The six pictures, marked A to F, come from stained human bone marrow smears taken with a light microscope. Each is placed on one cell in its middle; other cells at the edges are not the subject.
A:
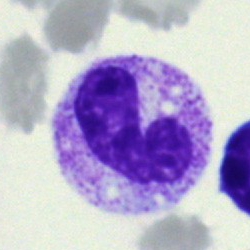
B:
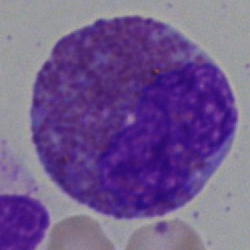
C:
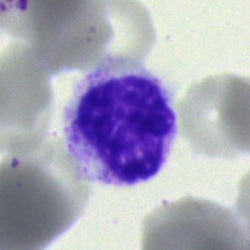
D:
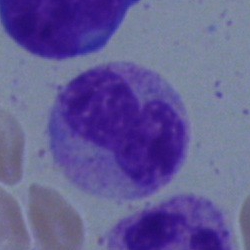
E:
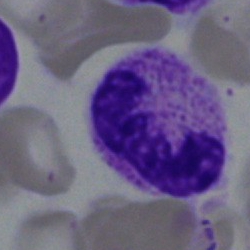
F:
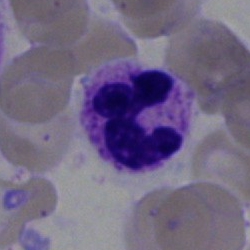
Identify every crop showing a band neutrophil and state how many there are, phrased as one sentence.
The set contains four crops with band neutrophils, those being A, C, D and E.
